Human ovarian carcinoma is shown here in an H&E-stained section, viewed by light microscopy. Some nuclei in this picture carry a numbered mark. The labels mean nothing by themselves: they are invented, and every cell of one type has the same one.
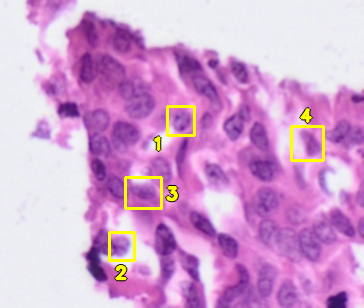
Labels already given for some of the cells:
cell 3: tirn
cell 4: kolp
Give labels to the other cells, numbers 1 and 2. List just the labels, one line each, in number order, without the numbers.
kolp
tirn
